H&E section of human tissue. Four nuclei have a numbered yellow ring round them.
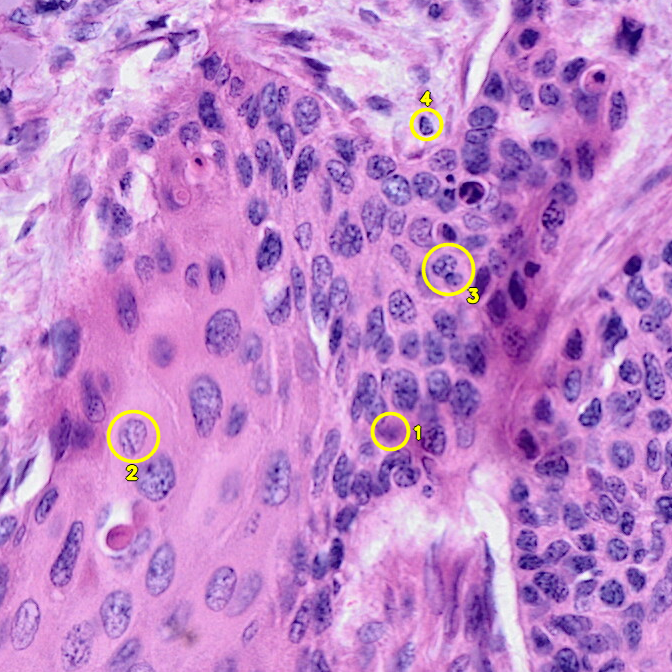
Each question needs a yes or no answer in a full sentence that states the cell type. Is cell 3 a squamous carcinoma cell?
Yes, the cell distinguished by number 3 is a squamous carcinoma cell.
